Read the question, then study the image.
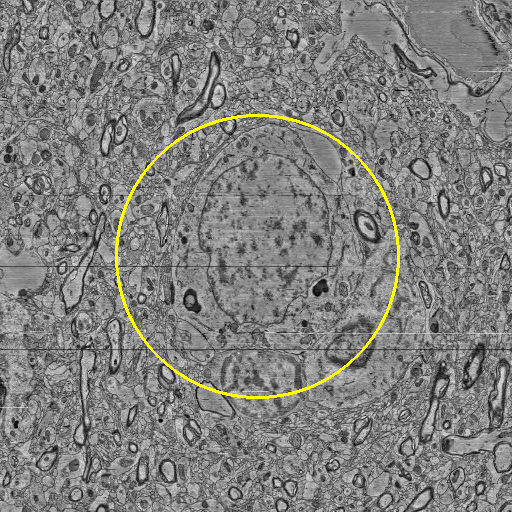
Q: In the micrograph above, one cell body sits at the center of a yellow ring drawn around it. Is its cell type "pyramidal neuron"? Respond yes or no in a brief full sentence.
Yes, its cell type is that one.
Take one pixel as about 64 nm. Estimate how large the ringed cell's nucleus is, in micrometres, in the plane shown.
The nucleus comes to roughly 11 by 9 micrometres in this plane.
